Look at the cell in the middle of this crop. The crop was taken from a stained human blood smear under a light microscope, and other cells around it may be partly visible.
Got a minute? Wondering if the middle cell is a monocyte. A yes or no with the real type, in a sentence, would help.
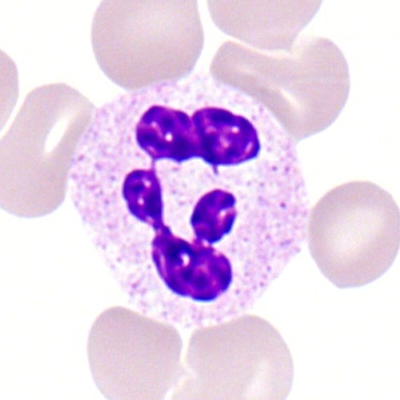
No, the cell placed in the centre is a segmented neutrophil and is not a monocyte.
